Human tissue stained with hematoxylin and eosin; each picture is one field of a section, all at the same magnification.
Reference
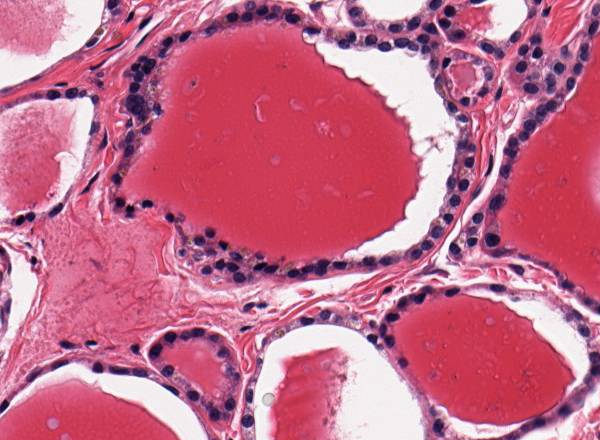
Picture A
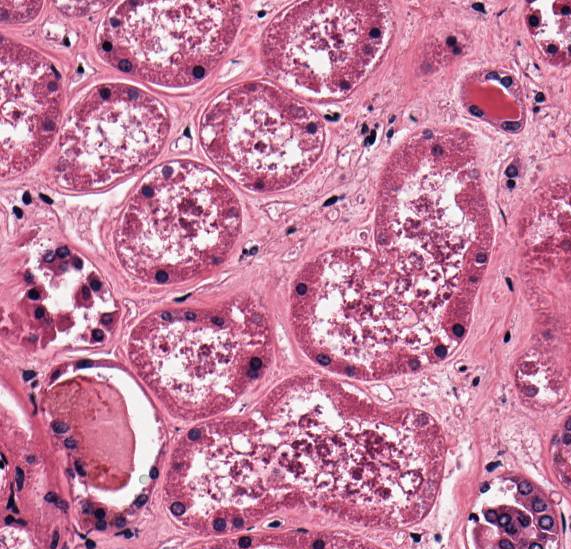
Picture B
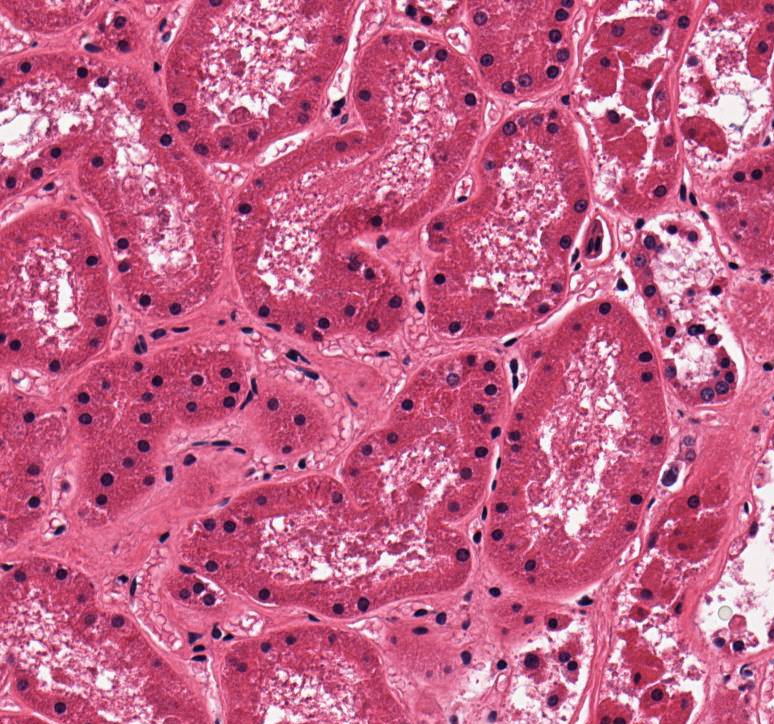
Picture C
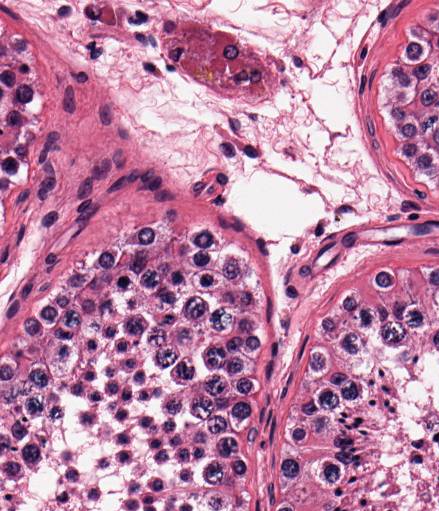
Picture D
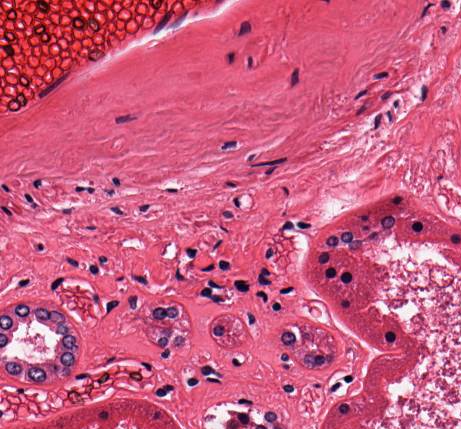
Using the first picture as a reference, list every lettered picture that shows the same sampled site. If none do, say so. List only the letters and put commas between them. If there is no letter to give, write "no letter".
no letter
